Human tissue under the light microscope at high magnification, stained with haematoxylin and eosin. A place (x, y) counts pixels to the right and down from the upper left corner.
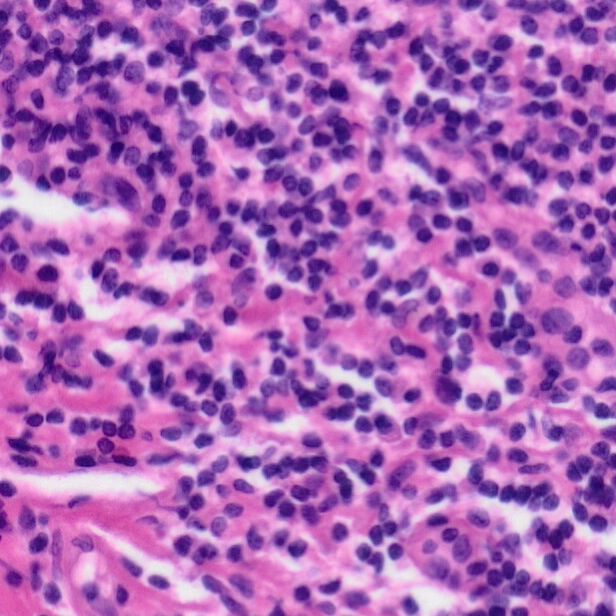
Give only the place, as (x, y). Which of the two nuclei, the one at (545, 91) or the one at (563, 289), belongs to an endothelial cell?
(563, 289)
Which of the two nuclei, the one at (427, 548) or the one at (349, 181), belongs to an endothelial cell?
(427, 548)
